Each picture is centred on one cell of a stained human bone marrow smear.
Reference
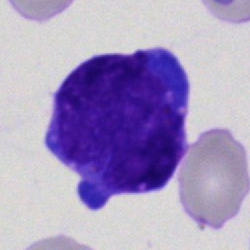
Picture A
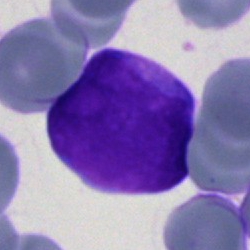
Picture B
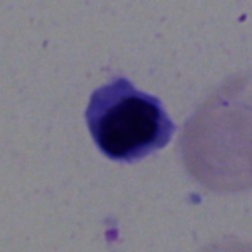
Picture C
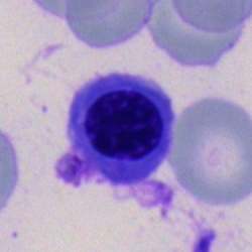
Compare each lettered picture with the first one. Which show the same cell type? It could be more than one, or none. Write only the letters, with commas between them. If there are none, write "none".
A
